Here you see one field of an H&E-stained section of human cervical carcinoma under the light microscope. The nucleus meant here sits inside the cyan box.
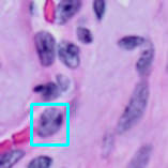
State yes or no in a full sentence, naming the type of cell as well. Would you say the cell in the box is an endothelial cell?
Yes, as far as cell type goes, the cell in the box is an endothelial cell.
